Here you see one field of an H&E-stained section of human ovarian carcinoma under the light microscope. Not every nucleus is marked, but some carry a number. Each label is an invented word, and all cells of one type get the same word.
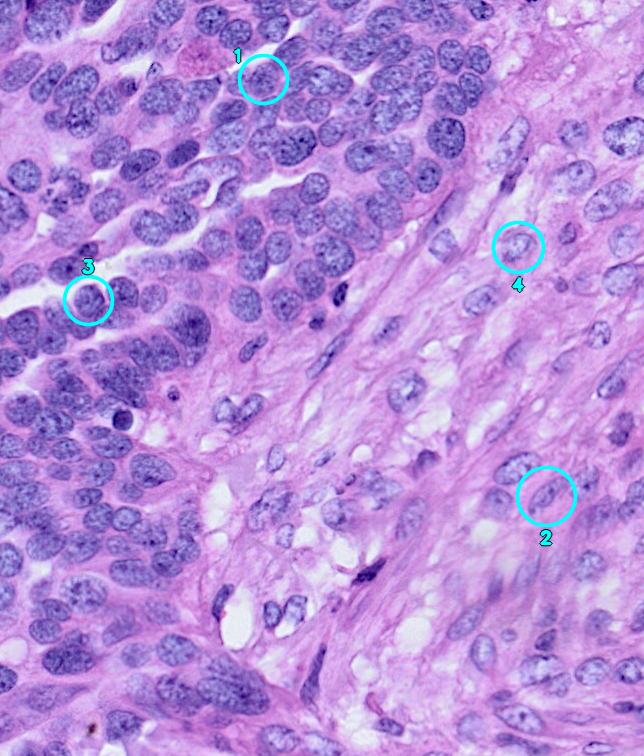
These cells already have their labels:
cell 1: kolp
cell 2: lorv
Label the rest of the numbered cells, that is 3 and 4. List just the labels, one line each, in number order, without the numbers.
kolp
lorv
